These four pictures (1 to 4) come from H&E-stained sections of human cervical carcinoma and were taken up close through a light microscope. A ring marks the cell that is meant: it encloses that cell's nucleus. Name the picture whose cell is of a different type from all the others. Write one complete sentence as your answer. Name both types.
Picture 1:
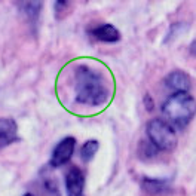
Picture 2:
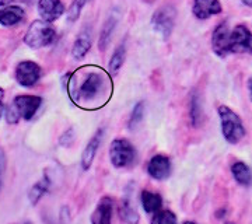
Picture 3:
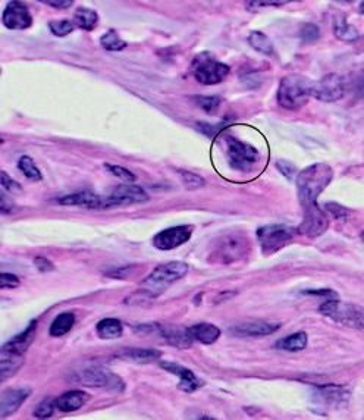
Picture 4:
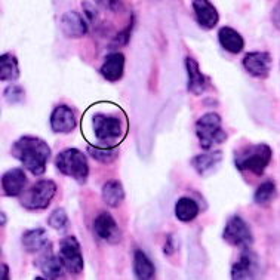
Picture 1 is the odd one out: it shows a “macrophage or monocyte”, while the others show lymphocytes.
